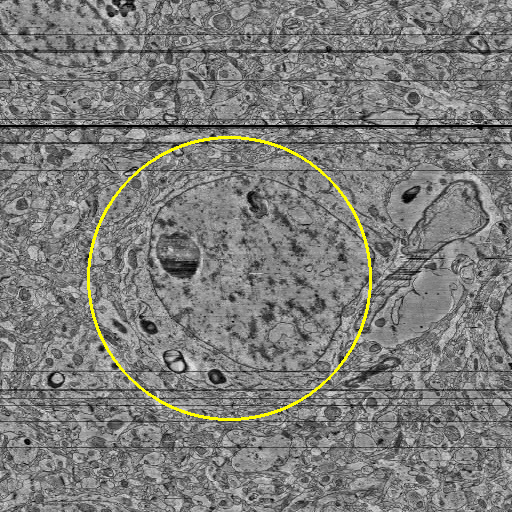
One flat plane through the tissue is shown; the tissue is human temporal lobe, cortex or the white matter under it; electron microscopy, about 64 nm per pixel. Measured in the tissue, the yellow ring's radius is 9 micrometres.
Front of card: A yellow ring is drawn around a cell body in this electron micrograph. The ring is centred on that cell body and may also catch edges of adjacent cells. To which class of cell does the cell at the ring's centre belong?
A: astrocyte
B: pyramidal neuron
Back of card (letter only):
B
